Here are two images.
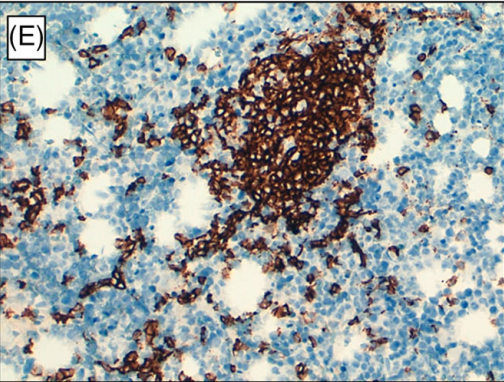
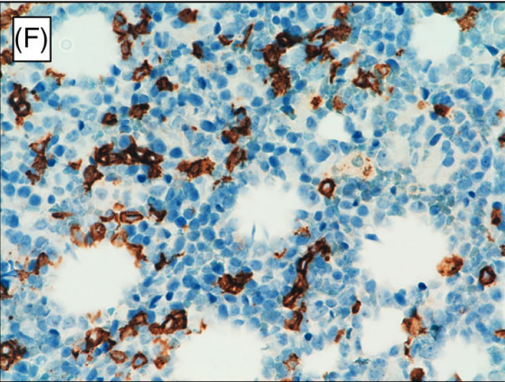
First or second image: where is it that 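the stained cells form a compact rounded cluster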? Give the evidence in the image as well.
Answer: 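Second image: brown cells lie in thin linear strands without a compact cluster. First image: a dense round aggregate of brown cells. That points to this answer: the first image.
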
